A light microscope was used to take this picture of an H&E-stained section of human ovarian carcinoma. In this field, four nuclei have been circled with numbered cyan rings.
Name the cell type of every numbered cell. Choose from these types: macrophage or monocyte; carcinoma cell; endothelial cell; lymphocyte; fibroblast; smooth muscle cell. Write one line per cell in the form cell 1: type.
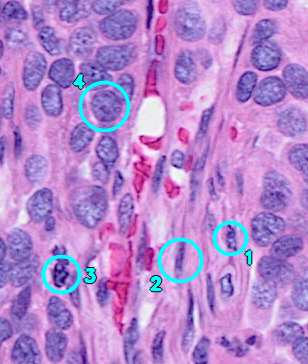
cell 1: fibroblast
cell 2: fibroblast
cell 3: lymphocyte
cell 4: carcinoma cell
